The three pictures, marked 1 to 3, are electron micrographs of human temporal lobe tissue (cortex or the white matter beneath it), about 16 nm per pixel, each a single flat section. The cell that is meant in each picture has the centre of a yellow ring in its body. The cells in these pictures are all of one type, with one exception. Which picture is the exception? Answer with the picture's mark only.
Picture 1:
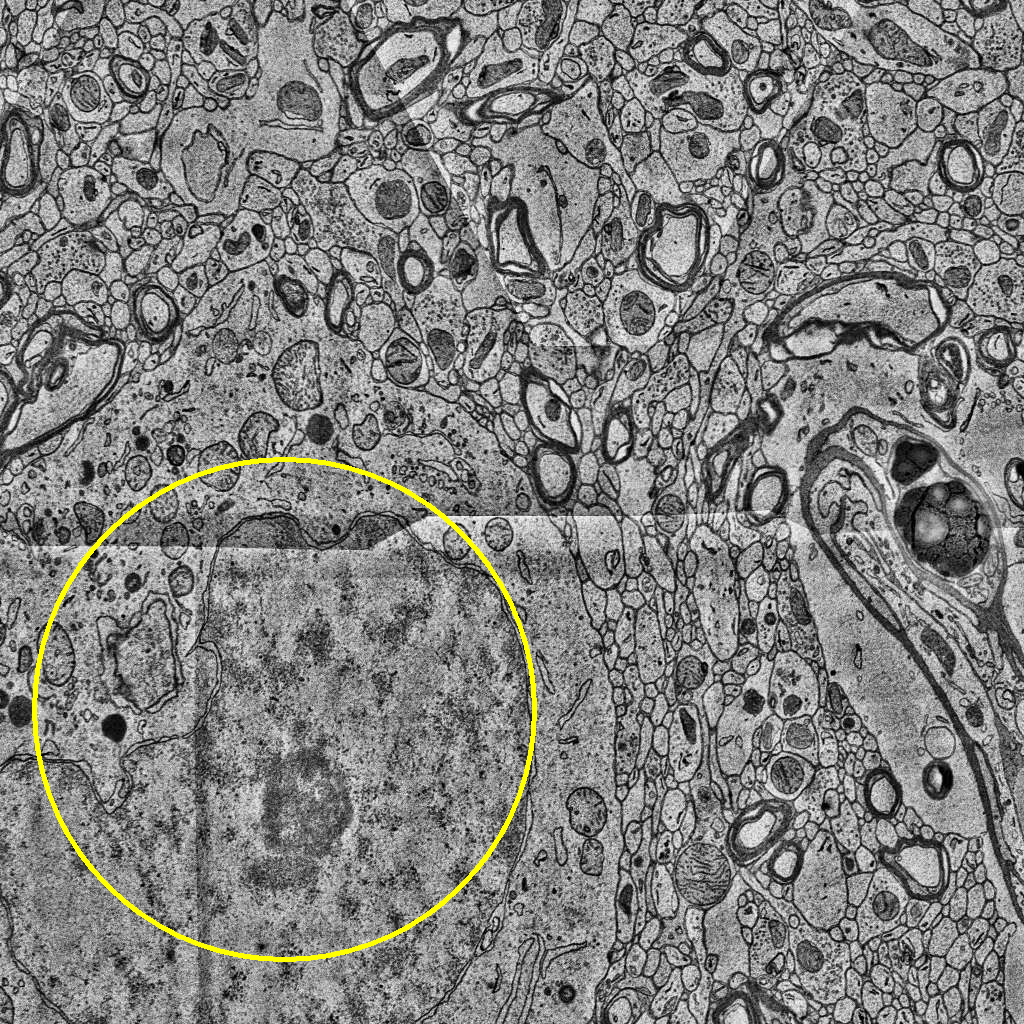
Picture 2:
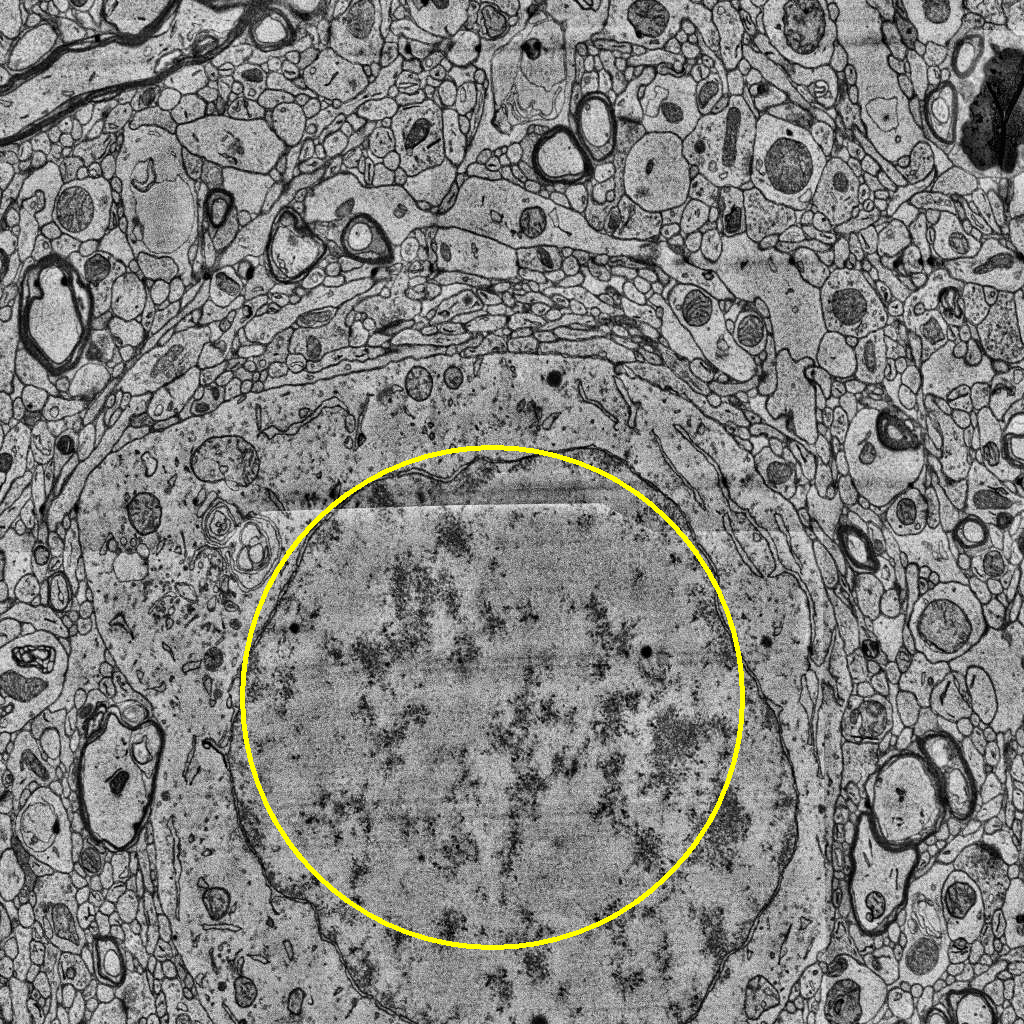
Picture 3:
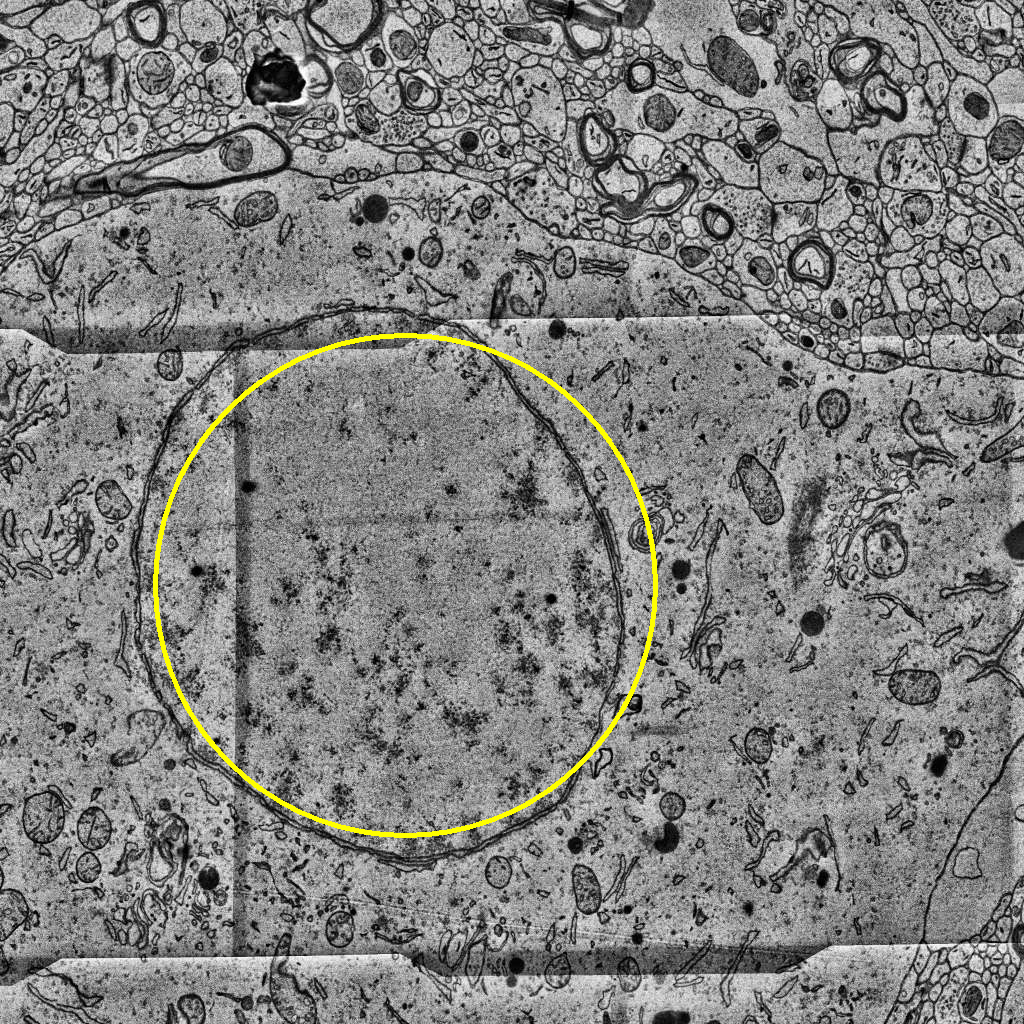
1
